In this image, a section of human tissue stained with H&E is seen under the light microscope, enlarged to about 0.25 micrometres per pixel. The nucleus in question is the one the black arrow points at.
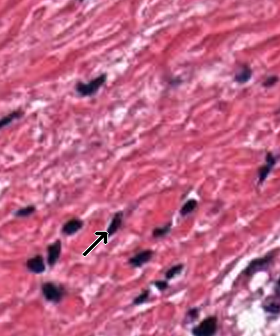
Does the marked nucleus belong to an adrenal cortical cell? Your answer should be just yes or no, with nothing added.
no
